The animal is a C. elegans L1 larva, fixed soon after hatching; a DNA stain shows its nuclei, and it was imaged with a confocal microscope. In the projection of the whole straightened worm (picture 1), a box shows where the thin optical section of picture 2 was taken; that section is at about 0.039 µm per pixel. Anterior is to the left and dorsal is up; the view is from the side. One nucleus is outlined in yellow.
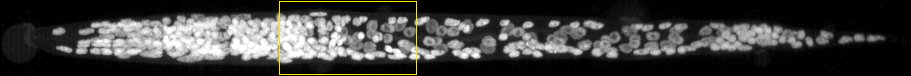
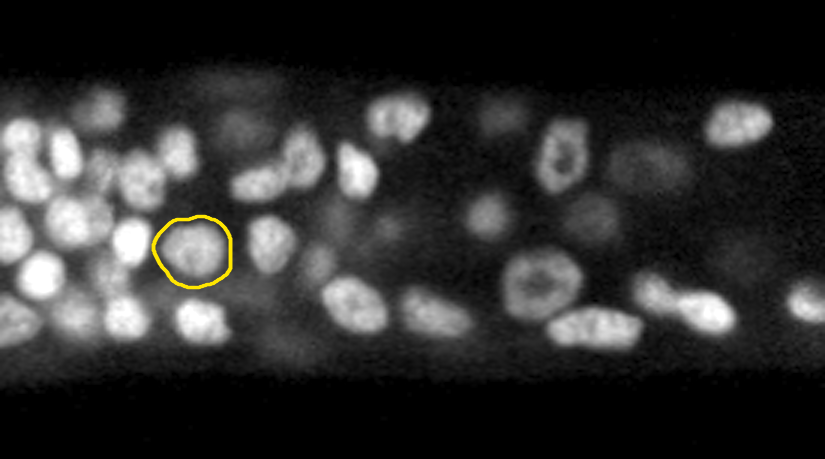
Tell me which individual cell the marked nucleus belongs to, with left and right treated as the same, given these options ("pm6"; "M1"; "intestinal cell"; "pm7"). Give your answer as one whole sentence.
This is the nucleus of pm6, a pharyngeal muscle cell.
